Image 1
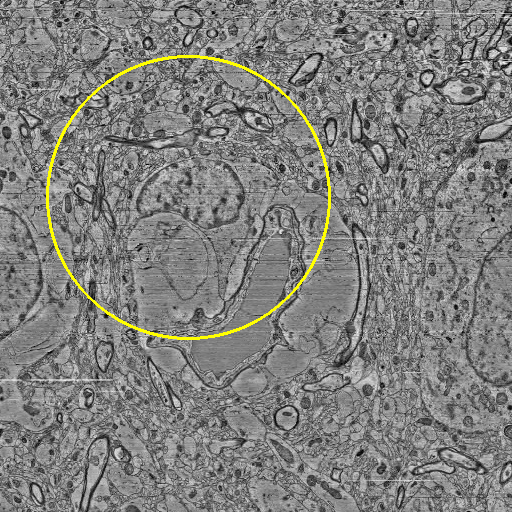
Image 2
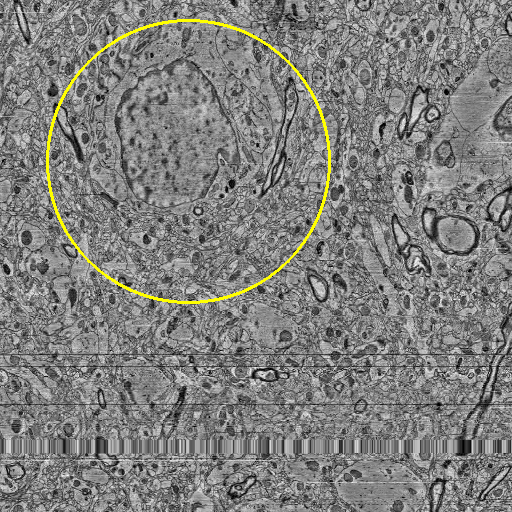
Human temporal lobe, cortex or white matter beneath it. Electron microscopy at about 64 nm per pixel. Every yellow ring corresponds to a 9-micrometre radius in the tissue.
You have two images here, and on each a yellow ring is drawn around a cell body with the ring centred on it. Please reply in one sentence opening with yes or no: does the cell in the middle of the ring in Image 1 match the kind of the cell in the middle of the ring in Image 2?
Yes, the two images show cells of one kind at the centres of their rings.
